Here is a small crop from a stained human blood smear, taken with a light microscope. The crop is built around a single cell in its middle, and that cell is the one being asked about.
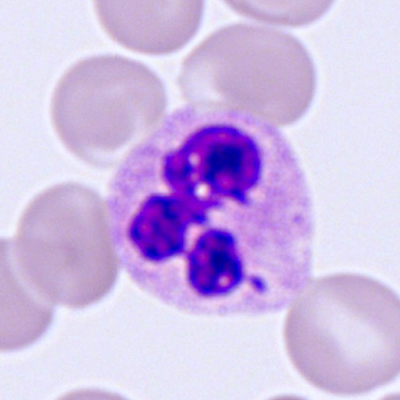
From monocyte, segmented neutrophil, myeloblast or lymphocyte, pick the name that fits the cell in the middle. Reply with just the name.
segmented neutrophil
